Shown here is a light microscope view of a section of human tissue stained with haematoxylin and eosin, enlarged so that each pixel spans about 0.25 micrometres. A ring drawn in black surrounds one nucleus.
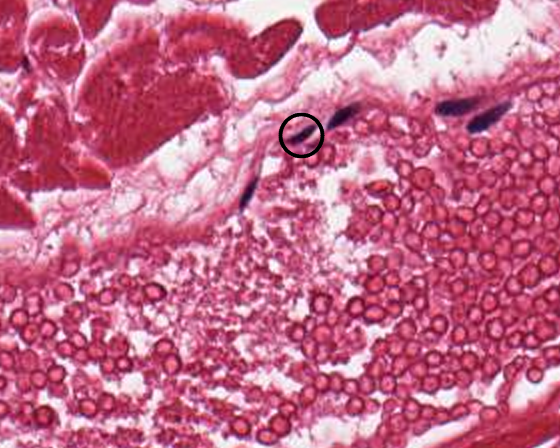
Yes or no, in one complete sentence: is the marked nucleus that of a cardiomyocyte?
No, the cell to which the marked nucleus belongs is a supporting cell rather than a cardiomyocyte.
